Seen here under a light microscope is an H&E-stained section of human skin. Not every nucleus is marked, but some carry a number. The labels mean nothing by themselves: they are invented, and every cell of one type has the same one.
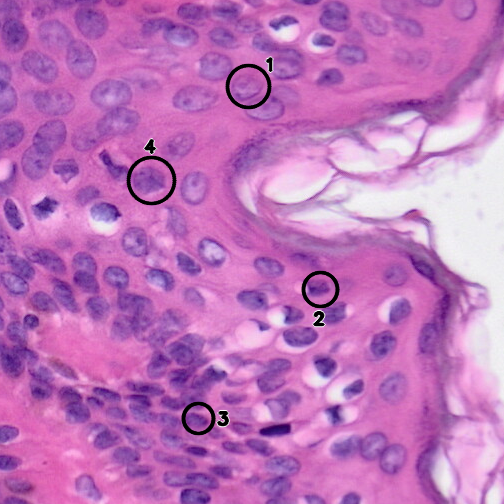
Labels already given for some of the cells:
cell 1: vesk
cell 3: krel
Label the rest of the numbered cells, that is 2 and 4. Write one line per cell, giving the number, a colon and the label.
2: vesk
4: vesk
